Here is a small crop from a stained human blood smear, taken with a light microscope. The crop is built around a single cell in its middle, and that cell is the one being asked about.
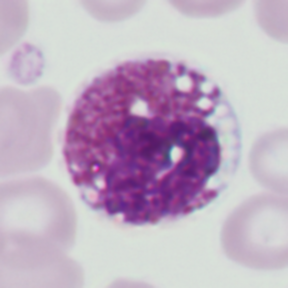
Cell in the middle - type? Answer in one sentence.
To answer, the cell in the center of the crop is an eosinophil.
